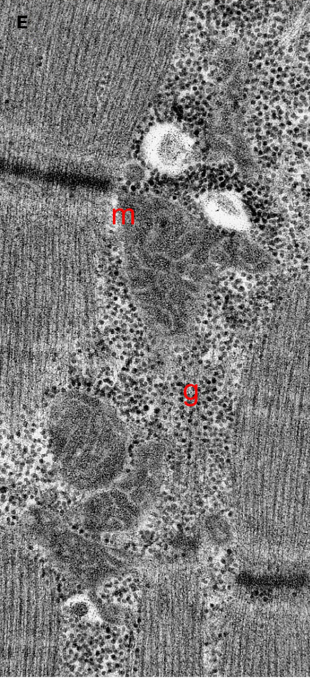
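Skeletal muscle fiber in longitudinal section showing an intermyofibrillar zone between striated myofibrils. Myofilaments run in parallel with dark Z-lines crossing them. Between the myofibrils lie several enlarged, irregularly shaped mitochondria with visible cristae, some clustered together. The surrounding sarcoplasm is packed with numerous small, dense black granules of glycogen, which crowd around the mitochondria. A few small round pale vesicles are also present in this zone.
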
